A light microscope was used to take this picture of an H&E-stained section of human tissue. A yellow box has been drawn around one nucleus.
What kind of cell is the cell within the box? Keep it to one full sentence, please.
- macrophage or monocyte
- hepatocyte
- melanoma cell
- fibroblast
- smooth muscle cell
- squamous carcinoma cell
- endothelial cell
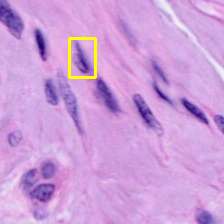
It is as a fibroblast that the cell within the box is classified.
